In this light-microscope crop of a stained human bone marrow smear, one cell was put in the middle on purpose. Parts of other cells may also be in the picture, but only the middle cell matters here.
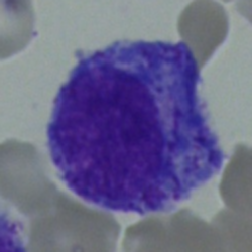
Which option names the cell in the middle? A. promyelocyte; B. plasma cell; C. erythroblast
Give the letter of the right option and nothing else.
A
